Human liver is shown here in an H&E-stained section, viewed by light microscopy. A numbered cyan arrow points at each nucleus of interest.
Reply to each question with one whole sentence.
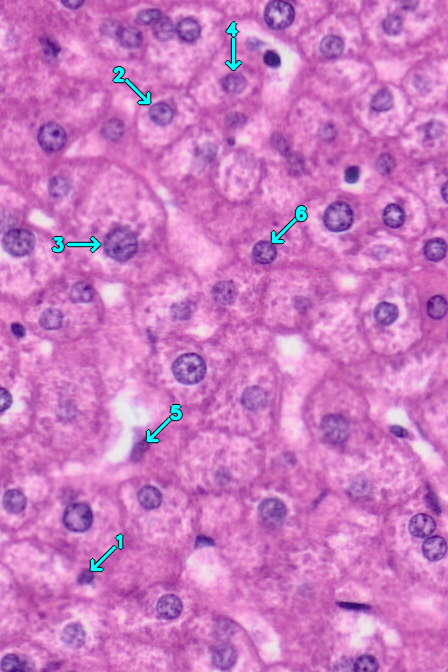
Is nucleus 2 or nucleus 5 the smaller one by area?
Nucleus 5 is the smaller one; nucleus 2 covers about 1.5 times its area.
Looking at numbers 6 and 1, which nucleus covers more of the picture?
Nucleus 6 is larger, with an area about 2 times that of nucleus 1.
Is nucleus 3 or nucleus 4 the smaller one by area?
The smaller nucleus is 4, and 3 covers roughly 2.5 times its area.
